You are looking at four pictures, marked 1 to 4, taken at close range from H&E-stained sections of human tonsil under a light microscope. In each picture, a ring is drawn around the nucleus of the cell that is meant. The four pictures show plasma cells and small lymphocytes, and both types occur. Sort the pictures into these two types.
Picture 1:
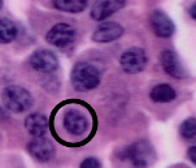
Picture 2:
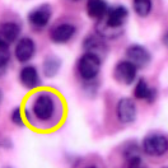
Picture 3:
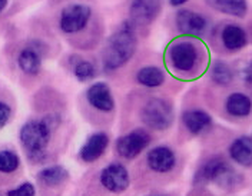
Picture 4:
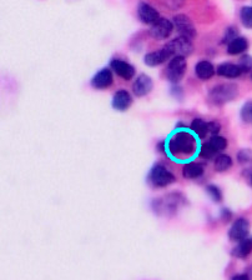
1: plasma cell
2: plasma cell
3: plasma cell
4: small lymphocyte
